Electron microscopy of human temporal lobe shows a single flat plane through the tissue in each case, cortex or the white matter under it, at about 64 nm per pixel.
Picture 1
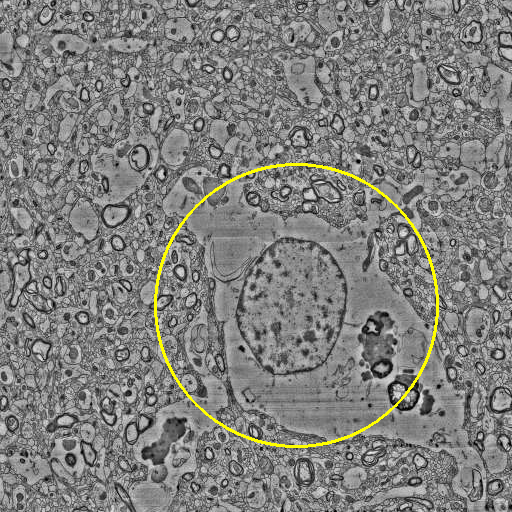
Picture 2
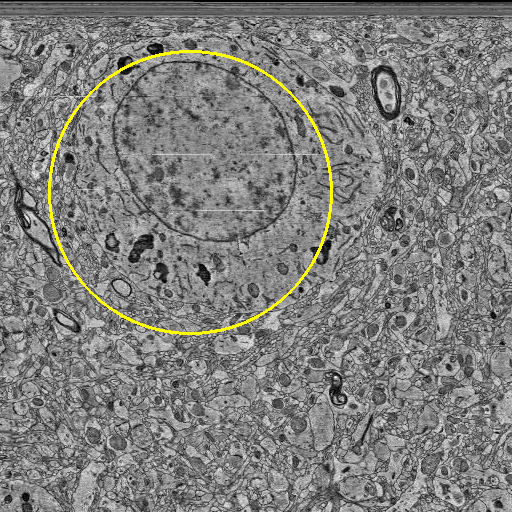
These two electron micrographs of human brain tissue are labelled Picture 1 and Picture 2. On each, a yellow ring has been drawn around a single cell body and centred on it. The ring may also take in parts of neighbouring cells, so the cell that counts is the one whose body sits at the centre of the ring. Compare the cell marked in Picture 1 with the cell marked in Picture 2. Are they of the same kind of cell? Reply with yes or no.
no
